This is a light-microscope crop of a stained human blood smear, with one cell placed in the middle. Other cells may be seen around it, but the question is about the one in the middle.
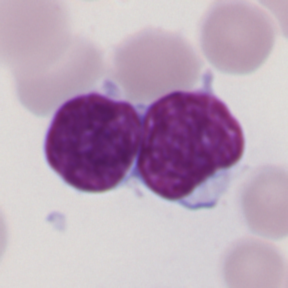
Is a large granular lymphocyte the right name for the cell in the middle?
no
